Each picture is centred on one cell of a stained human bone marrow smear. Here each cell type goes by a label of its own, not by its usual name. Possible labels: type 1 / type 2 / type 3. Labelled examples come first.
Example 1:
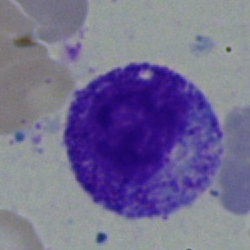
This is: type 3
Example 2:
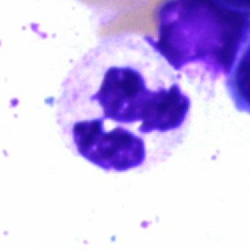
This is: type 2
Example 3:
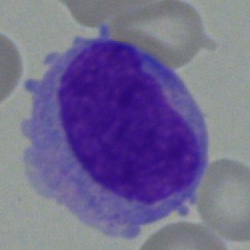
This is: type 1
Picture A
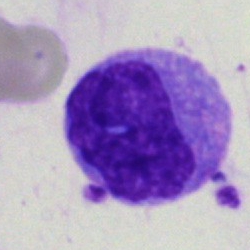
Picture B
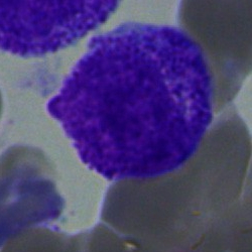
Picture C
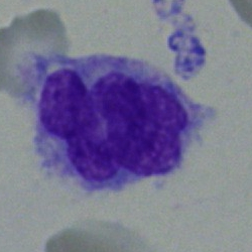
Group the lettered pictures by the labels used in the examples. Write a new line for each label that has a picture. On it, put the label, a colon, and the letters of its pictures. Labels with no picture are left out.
type 1: A, C
type 3: B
